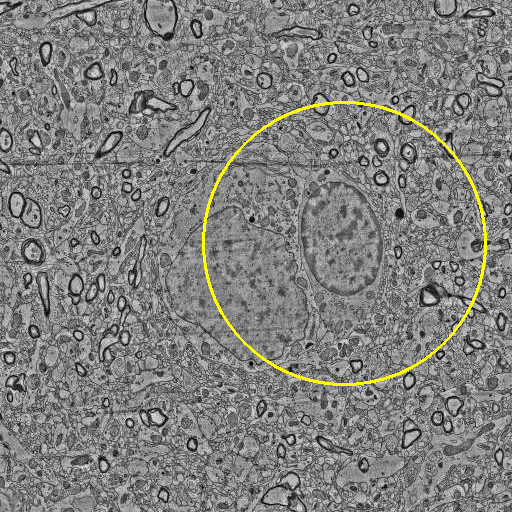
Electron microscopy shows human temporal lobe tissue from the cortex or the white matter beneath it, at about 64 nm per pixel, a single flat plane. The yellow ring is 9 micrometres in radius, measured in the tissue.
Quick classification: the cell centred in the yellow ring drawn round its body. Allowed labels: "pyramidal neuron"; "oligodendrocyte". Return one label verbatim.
oligodendrocyte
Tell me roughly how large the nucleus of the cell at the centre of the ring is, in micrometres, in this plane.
In this plane, about 7 micrometres in length and 5 in width.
